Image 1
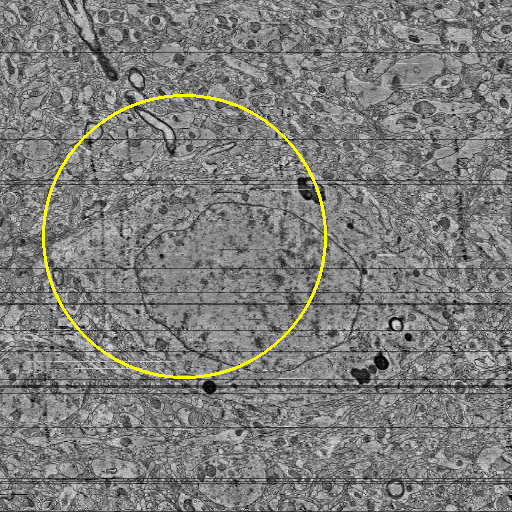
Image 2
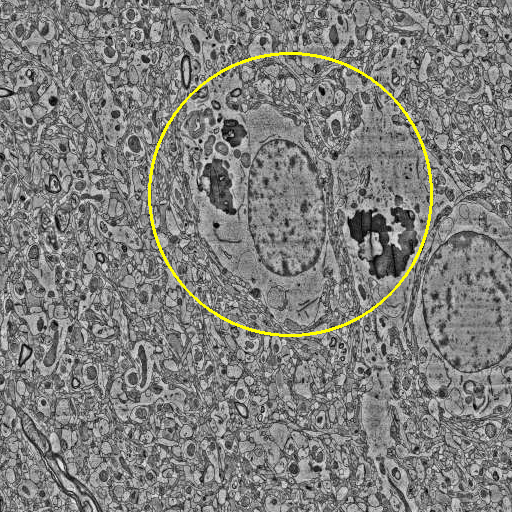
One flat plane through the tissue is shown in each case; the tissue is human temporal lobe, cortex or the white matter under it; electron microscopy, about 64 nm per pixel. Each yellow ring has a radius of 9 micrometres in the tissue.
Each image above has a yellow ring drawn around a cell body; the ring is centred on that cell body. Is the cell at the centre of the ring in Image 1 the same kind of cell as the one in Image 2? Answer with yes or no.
no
